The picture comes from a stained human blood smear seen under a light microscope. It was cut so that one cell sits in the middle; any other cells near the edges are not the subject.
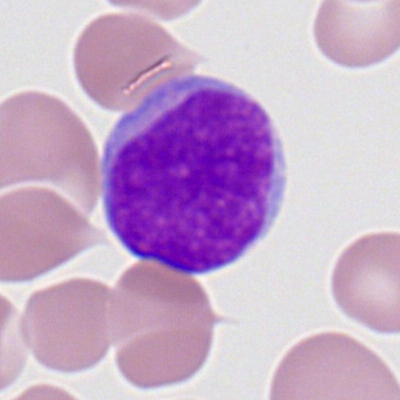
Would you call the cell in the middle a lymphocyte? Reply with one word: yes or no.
no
